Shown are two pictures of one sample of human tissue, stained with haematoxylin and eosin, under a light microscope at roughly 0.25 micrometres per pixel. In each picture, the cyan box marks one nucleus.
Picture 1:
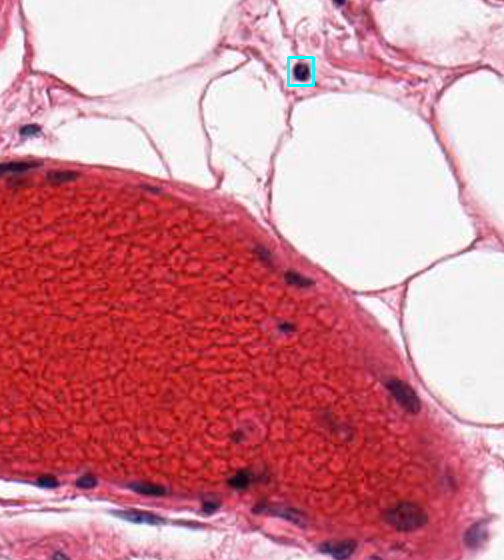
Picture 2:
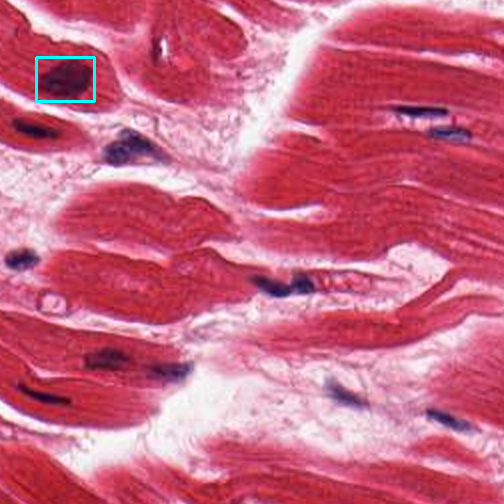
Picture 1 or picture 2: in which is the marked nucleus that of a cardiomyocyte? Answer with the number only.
2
